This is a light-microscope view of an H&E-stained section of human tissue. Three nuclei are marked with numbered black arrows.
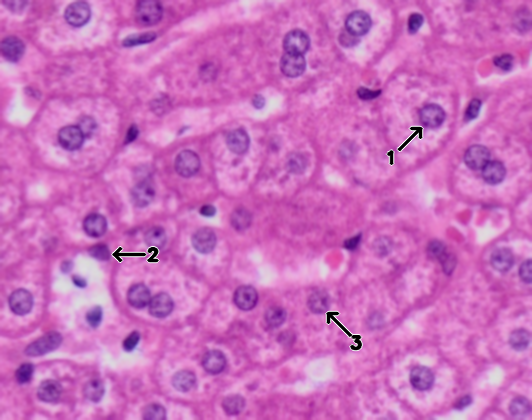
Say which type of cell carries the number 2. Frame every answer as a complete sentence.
The numbered cell 2 in this field is an endothelial cell.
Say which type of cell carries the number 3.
The cell numbered 3 has been identified as a hepatocyte.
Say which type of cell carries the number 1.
That cell with number 1 is a hepatocyte.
